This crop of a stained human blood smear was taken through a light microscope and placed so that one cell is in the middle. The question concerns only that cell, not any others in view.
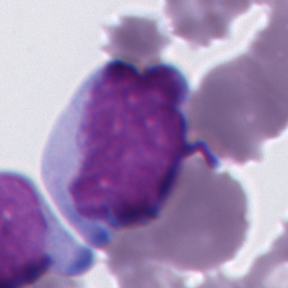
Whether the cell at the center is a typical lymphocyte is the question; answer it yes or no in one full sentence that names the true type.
No, the central cell is not a typical lymphocyte; it is a myeloblast.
